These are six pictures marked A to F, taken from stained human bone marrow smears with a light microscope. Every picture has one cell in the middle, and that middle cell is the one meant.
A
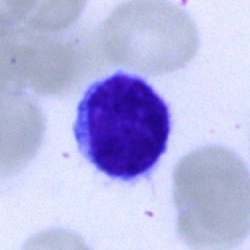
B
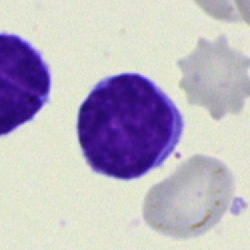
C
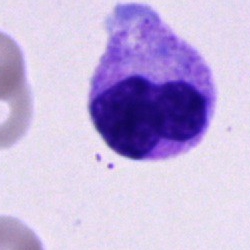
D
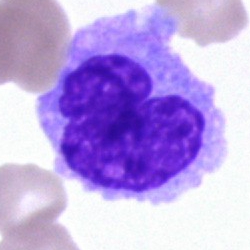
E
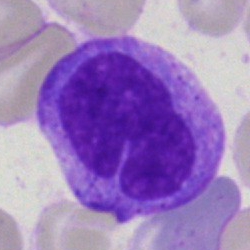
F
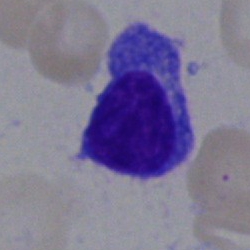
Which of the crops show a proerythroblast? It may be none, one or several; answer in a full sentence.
Not a single crop among those given shows a proerythroblast.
